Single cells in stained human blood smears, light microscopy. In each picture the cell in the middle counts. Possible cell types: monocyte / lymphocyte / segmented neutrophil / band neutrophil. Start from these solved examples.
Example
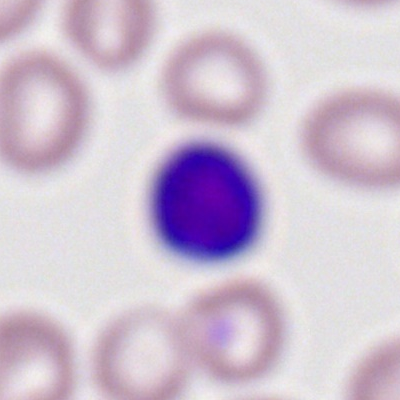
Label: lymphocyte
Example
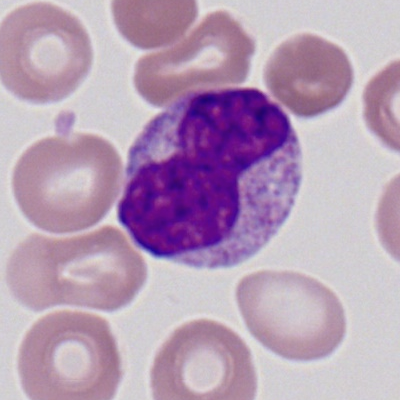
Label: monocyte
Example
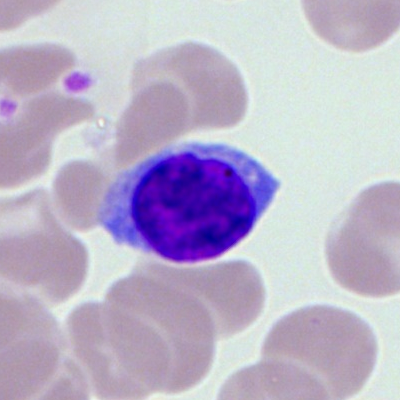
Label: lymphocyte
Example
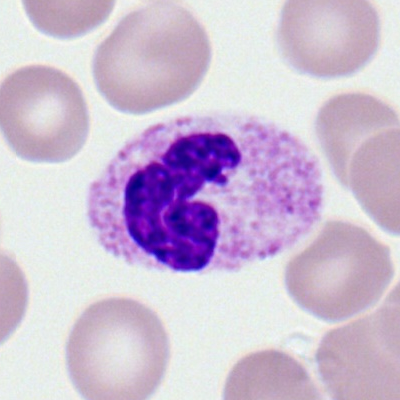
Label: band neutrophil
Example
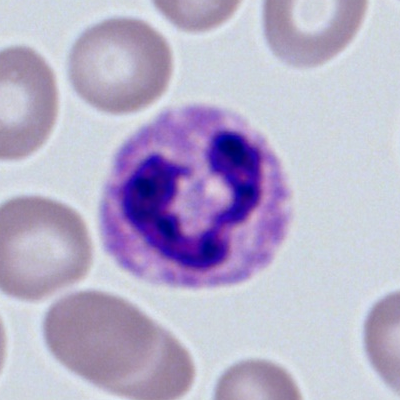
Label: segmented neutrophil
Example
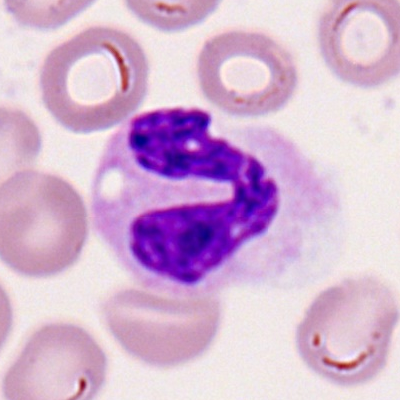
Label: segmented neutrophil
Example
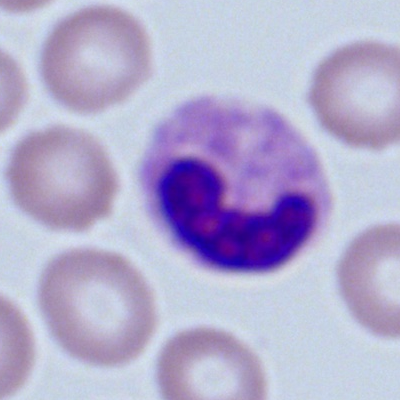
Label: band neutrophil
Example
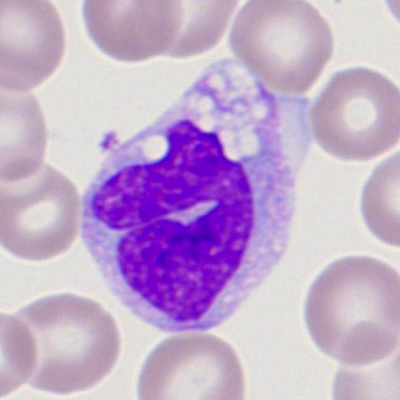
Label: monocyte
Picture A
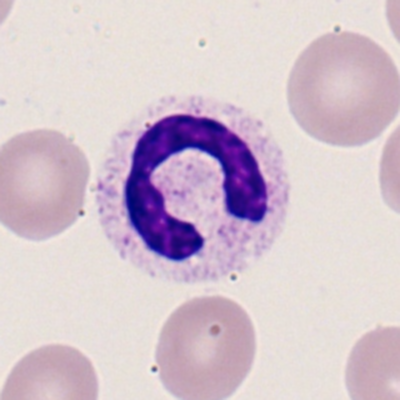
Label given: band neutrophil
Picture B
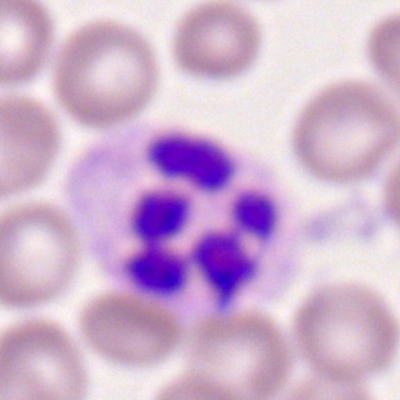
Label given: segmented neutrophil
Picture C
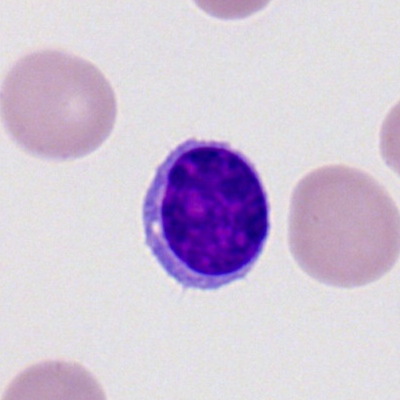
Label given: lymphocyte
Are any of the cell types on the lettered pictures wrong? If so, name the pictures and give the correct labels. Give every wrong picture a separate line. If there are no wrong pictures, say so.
No label is wrong.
